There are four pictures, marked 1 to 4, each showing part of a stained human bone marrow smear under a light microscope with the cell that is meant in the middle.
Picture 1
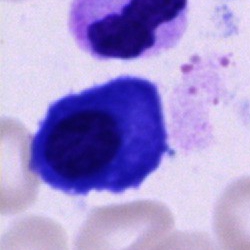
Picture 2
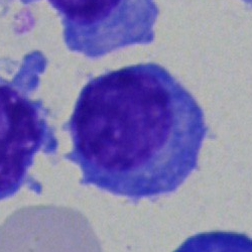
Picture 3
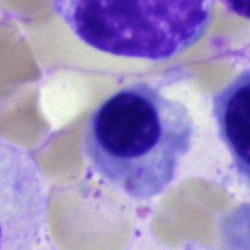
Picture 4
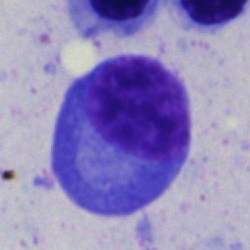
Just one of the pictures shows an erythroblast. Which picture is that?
3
